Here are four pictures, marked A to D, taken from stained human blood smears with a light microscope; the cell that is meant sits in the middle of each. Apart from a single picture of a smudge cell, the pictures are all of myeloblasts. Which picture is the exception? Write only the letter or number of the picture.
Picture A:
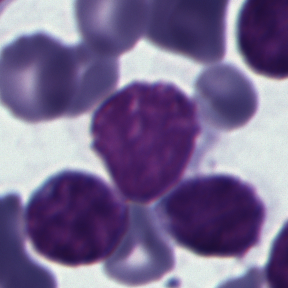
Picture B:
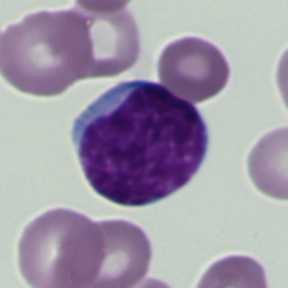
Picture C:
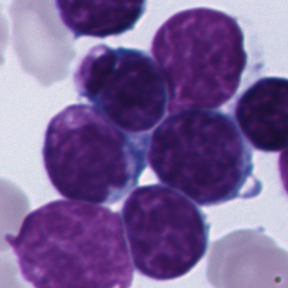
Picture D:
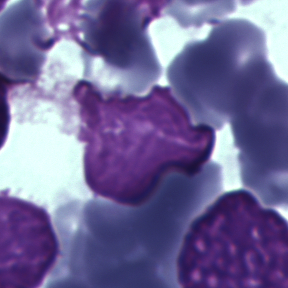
D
